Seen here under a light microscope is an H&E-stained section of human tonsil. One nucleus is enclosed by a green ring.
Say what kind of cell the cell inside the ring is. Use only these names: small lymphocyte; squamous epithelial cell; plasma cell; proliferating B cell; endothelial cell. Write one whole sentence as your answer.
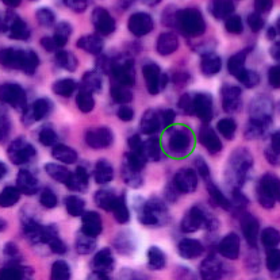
As far as its identity is concerned, the cell inside the ring is a small lymphocyte.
